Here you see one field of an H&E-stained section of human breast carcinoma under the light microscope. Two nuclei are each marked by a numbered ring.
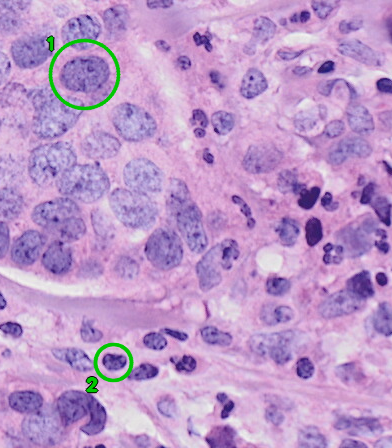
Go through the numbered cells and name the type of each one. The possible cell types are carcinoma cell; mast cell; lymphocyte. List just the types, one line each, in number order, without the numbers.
carcinoma cell
lymphocyte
